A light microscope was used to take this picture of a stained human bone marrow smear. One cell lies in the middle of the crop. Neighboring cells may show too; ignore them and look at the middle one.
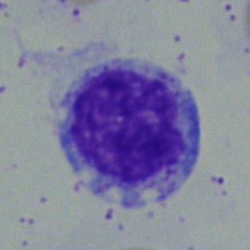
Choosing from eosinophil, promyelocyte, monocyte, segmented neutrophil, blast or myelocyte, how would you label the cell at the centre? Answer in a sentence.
The middle of this crop holds a monocyte.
